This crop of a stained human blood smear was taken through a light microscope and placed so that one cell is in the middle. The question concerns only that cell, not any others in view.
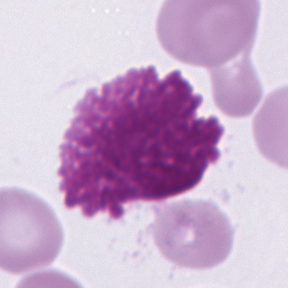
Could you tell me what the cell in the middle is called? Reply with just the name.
smudge cell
